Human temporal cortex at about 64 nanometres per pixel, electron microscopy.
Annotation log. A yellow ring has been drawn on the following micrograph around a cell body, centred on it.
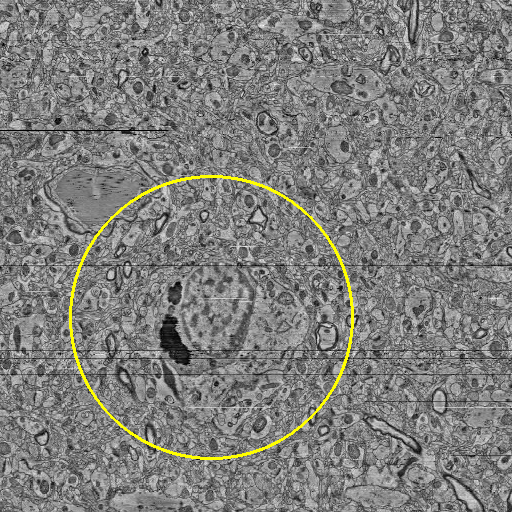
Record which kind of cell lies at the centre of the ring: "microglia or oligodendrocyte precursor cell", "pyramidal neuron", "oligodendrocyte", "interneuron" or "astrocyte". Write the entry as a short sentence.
The cell the ring is centred on is an oligodendrocyte.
